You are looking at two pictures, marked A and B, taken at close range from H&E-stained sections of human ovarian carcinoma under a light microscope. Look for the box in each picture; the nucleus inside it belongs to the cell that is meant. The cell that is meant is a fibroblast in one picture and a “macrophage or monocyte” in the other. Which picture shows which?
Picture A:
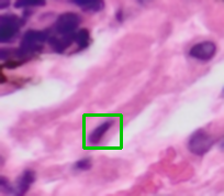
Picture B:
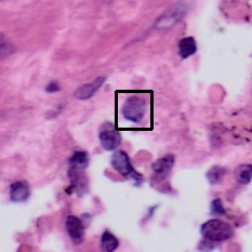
A: fibroblast
B: macrophage or monocyte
